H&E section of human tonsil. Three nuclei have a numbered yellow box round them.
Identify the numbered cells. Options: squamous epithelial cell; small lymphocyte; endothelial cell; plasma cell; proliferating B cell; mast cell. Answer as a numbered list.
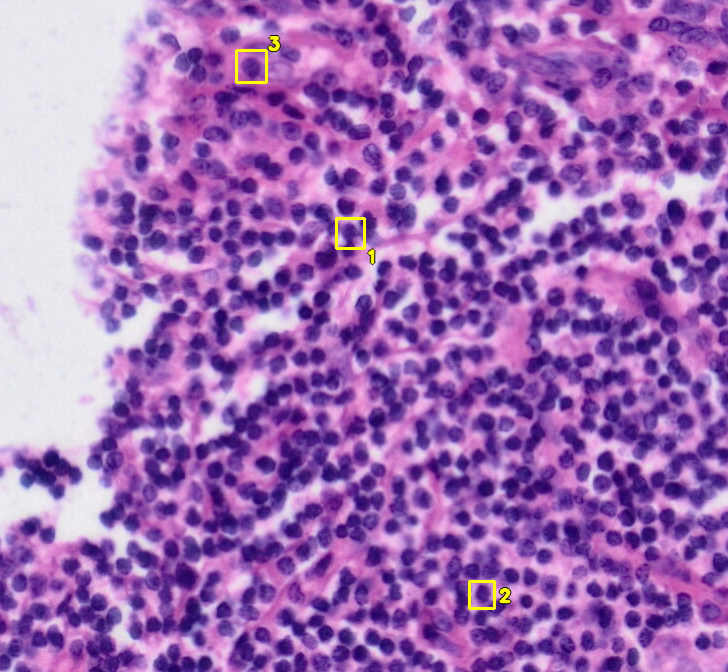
1. small lymphocyte
2. small lymphocyte
3. endothelial cell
